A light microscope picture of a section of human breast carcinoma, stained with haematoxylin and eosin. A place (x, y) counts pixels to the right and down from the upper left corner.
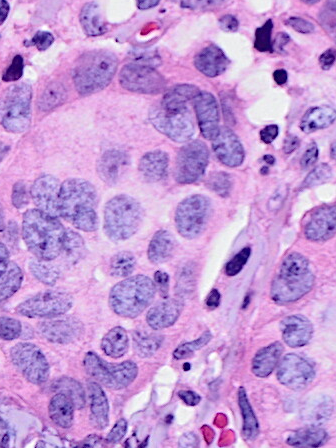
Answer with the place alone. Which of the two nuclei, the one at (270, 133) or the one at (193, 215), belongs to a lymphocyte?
(270, 133)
